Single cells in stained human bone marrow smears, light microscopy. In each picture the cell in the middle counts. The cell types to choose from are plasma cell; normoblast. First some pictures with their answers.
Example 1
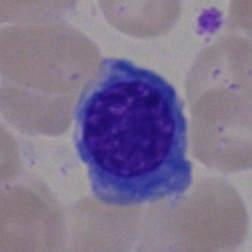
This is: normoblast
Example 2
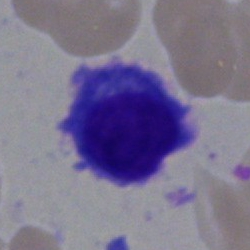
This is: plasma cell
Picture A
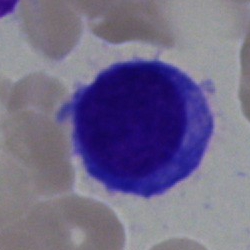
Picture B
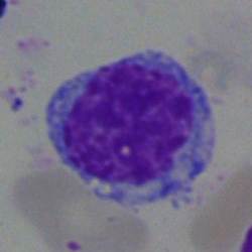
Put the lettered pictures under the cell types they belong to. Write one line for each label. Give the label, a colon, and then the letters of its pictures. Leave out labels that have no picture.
plasma cell: A, B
